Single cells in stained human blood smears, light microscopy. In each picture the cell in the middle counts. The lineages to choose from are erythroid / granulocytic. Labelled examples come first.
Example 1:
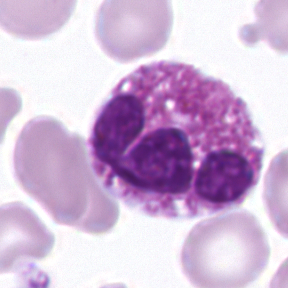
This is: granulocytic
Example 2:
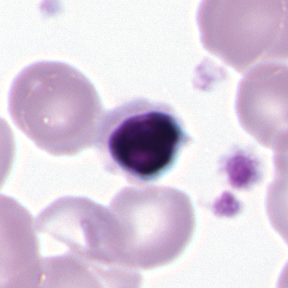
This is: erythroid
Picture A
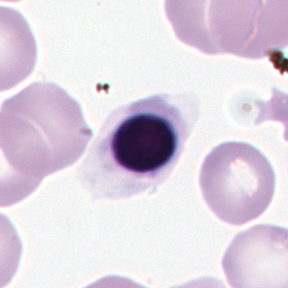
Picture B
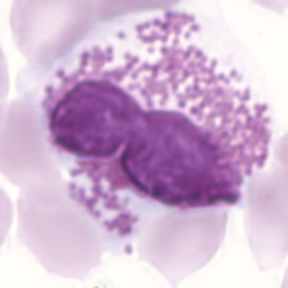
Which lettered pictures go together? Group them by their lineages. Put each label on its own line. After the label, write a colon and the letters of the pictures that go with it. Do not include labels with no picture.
erythroid: A
granulocytic: B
